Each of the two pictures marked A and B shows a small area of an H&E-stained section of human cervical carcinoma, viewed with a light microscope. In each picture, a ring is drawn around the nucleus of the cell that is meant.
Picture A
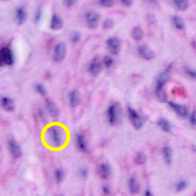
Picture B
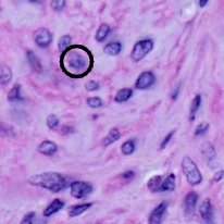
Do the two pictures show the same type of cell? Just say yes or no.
yes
